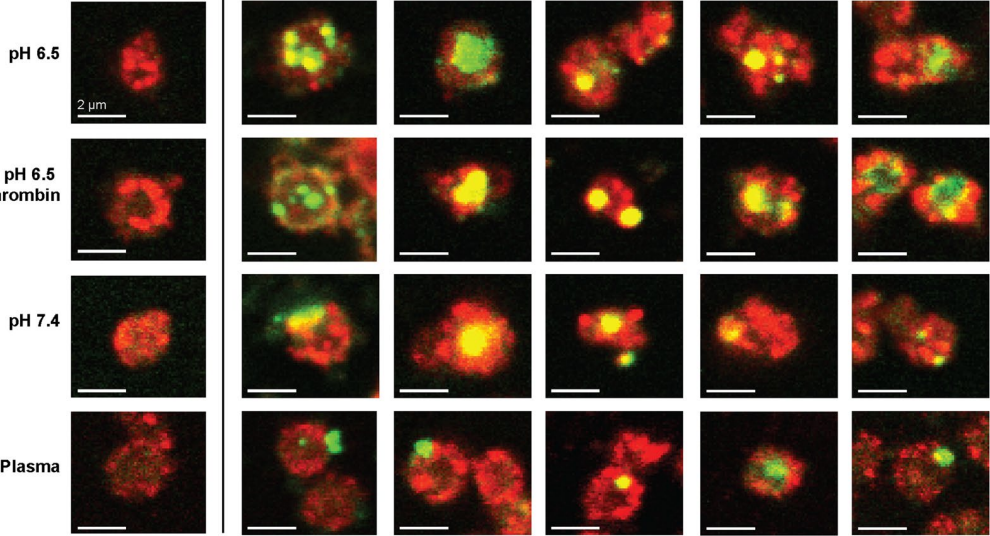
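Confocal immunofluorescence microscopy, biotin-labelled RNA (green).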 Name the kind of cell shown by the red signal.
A: Platelets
